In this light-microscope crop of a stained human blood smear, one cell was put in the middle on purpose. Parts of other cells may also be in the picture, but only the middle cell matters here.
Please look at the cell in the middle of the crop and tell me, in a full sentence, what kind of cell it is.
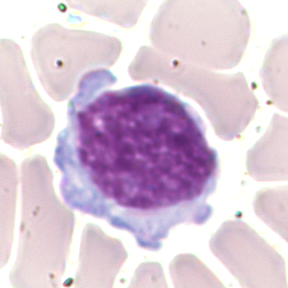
The middle position in this crop is taken by a plasma cell.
